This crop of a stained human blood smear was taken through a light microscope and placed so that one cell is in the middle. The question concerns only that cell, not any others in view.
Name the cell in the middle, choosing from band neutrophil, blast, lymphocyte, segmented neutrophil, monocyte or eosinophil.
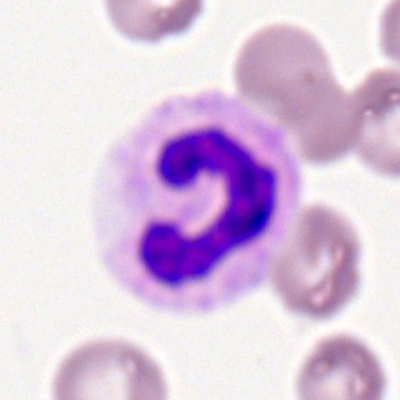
band neutrophil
